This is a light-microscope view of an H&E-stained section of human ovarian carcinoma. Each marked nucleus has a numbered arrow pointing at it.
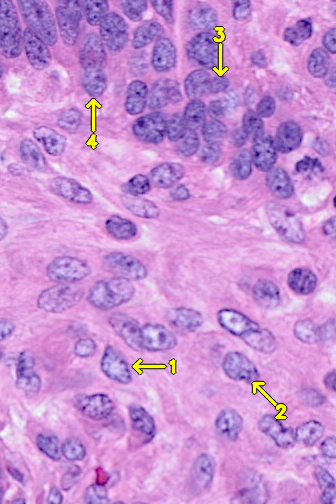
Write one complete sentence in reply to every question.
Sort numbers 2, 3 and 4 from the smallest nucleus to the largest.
From smallest to largest, the order is 3, 4, 2.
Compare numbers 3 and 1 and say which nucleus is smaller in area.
It is nucleus 3; nucleus 1 has about 3 times its area.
